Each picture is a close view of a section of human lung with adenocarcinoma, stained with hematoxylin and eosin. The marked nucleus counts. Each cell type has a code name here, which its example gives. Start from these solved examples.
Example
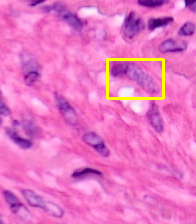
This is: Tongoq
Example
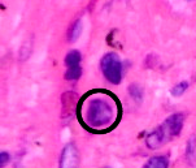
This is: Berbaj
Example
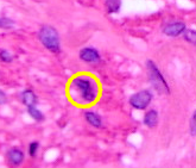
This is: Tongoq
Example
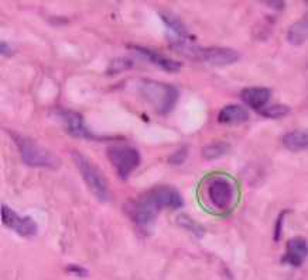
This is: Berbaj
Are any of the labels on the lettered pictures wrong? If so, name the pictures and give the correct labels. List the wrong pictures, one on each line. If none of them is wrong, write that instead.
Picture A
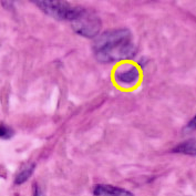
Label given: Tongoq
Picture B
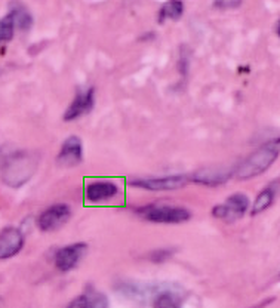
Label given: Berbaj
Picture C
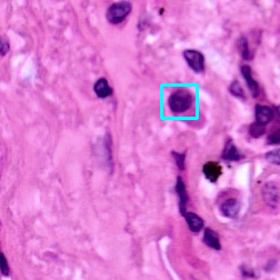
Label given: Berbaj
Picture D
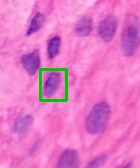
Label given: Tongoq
No label is wrong.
